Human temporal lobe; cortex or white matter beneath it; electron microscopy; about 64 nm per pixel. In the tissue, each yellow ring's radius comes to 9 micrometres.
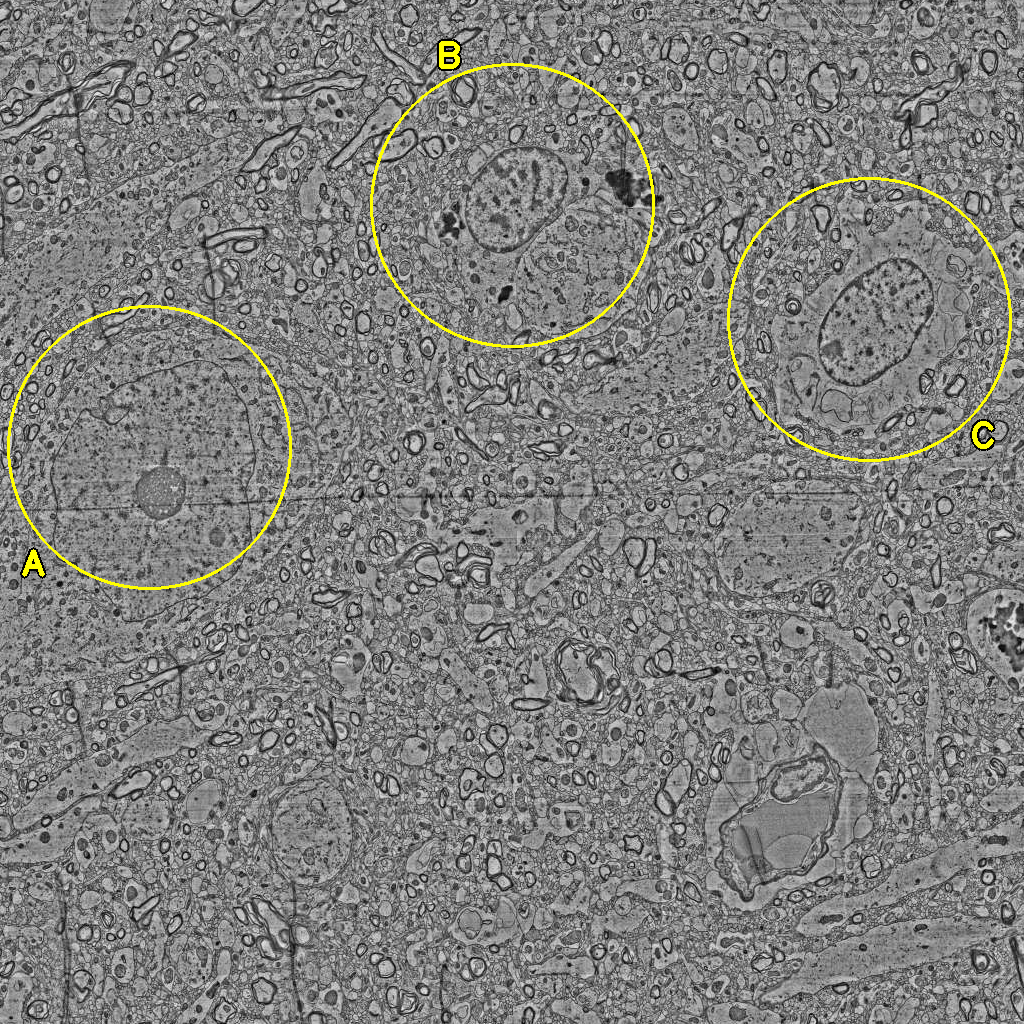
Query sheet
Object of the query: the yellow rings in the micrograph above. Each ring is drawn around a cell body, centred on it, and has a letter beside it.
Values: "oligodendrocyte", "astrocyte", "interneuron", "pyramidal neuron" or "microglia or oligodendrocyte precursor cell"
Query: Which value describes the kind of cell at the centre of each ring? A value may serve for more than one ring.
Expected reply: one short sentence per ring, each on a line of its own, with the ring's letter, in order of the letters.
I assign a pyramidal neuron to ring A.
I assign an oligodendrocyte to ring B.
I assign an astrocyte to ring C.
